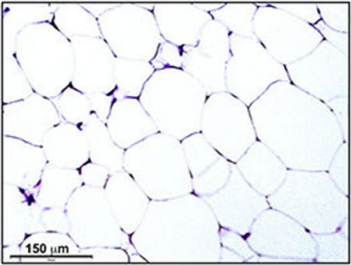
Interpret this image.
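This is adipose tissue made of large adipocytes that appear as clear, empty round to polygonal spaces packed against one another. Each cell is bounded by only a thin purple rim, and the few small dark nuclei lie flattened at the edges between cells, with very little intervening stroma.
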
